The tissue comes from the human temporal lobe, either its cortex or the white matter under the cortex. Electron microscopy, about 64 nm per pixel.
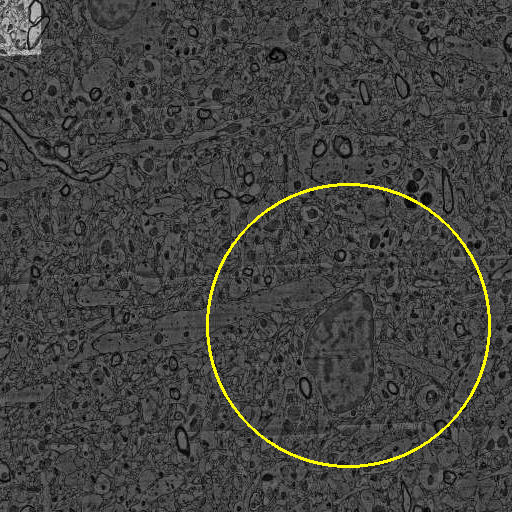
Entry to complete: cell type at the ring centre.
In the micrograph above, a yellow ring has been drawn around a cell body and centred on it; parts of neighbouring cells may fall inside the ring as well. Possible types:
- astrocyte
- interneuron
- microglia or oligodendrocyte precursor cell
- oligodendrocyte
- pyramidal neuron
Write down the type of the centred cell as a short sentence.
The ring is centred on a microglial cell or oligodendrocyte precursor cell.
